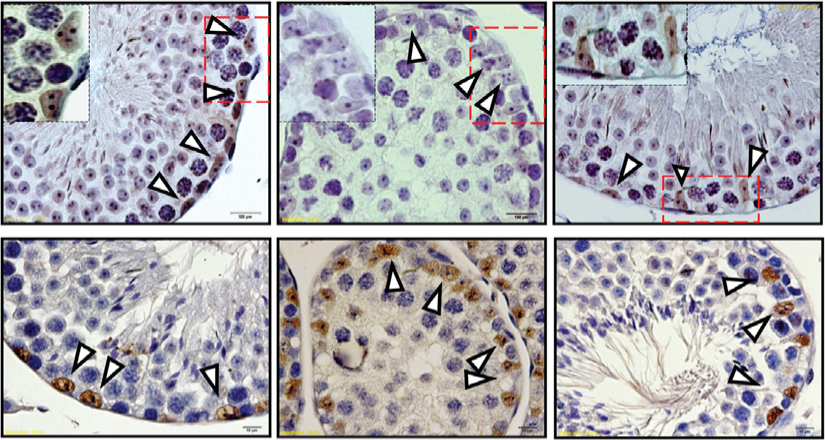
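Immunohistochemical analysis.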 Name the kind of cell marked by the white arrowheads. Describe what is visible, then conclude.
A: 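Sertoli cells. The arrowheads point to cells lying against the outer wall of the round tubules, among the layered germ cells. In the enlarged insets the marked nuclei are irregular in outline with a distinct dark nucleolus.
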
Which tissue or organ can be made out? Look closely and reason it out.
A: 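Round tubules are filled with several layers of germ cells from the wall toward a central lumen. Bundles of thin sperm tails gather in the tubule lumens. So: testis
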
